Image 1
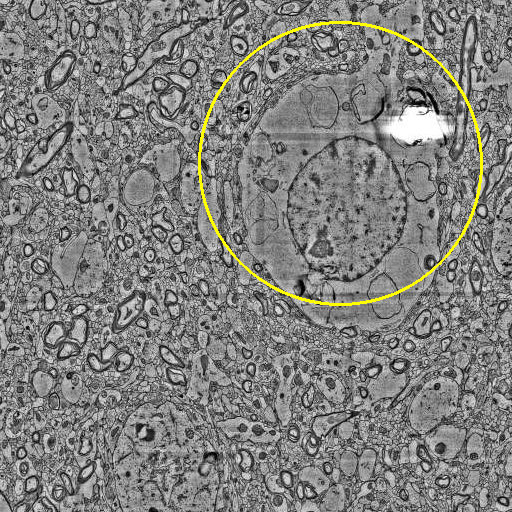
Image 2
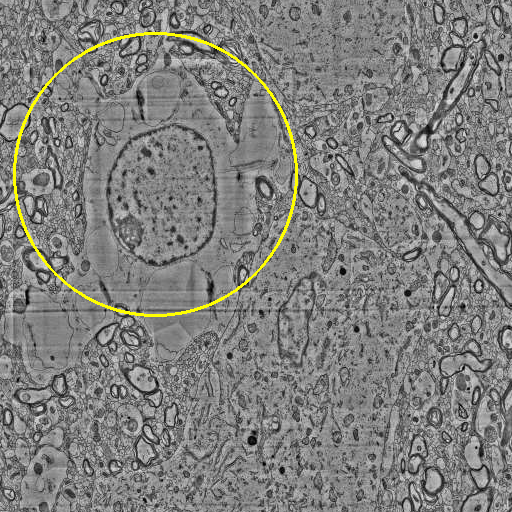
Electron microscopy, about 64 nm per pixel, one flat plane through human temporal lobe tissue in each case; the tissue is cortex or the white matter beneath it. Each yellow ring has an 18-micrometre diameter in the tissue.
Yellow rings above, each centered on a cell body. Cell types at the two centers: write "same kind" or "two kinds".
same kind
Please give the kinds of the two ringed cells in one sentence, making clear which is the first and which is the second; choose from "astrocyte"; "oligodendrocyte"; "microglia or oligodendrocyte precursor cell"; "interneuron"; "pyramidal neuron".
Both cells are the same kind, each one being an astrocyte.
